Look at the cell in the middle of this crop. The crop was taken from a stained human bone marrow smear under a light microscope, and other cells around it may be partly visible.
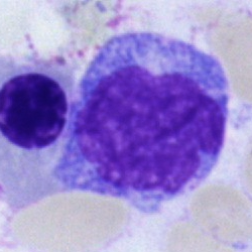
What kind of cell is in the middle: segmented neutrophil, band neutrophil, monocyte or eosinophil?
monocyte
